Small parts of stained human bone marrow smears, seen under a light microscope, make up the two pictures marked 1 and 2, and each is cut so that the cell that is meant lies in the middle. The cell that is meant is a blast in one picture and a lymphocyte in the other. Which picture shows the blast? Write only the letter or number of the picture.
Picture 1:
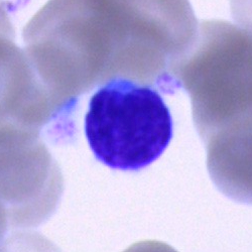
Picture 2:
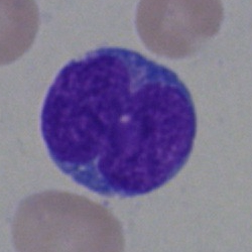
2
